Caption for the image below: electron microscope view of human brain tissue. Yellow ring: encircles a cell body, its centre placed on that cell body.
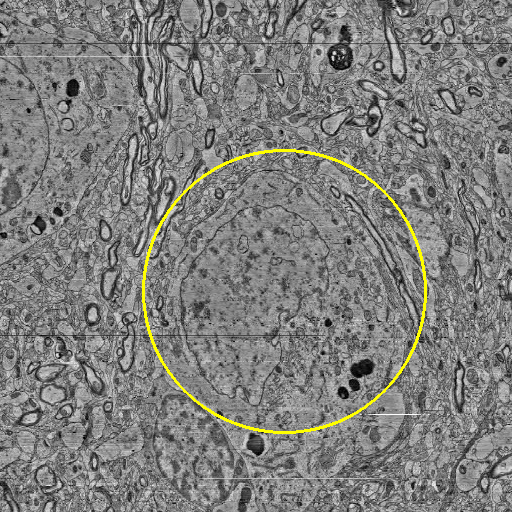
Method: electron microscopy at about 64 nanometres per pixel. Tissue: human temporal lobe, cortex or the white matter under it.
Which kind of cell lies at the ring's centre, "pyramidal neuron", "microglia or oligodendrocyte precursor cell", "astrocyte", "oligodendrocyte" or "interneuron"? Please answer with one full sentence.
The picture shows a pyramidal neuron at the centre of the yellow ring.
